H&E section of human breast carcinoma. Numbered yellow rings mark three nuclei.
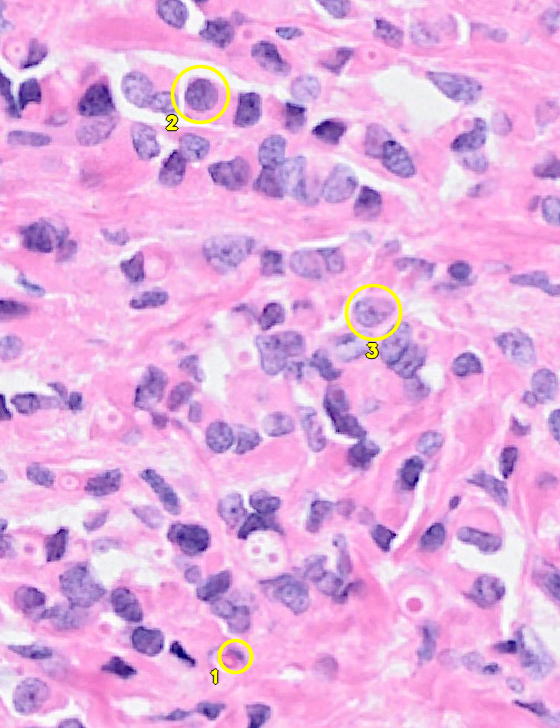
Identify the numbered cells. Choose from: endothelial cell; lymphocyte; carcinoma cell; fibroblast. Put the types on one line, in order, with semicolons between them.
endothelial cell; carcinoma cell; carcinoma cell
